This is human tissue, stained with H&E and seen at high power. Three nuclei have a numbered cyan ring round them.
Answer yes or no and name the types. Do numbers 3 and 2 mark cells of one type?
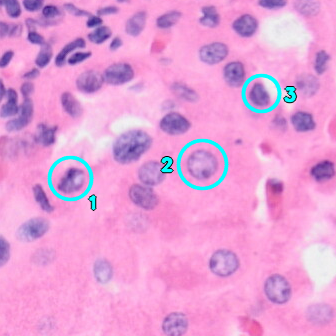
No, cell 3 is a loop of Henle or distal tubule cell and cell 2 is a proximal tubule cell.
